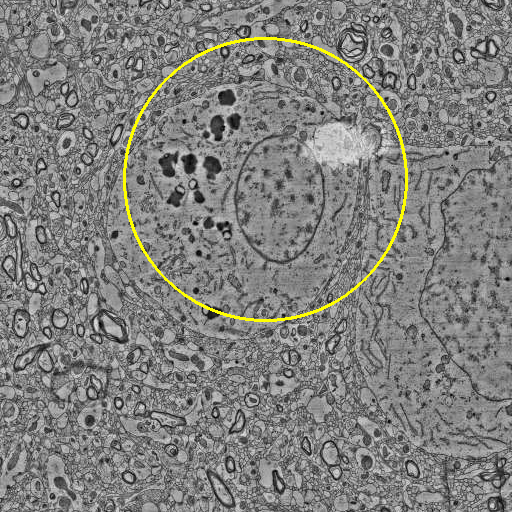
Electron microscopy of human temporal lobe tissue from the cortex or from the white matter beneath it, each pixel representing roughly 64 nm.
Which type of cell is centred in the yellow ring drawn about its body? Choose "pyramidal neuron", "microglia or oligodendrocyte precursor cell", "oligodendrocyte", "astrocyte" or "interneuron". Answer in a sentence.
The yellow ring surrounds the cell body of a pyramidal neuron.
